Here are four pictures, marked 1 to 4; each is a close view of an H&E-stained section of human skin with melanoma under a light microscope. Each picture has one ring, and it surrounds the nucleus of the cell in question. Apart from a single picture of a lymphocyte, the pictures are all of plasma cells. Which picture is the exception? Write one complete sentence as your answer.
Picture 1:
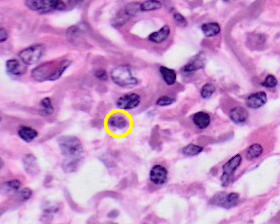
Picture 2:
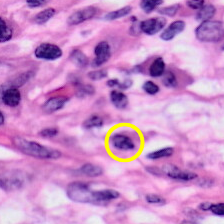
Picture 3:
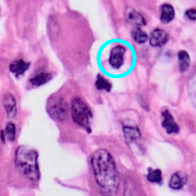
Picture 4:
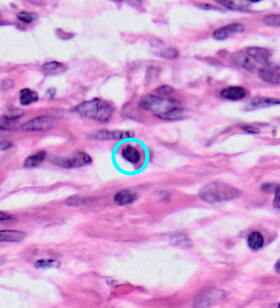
The picture with the lymphocyte is 3.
